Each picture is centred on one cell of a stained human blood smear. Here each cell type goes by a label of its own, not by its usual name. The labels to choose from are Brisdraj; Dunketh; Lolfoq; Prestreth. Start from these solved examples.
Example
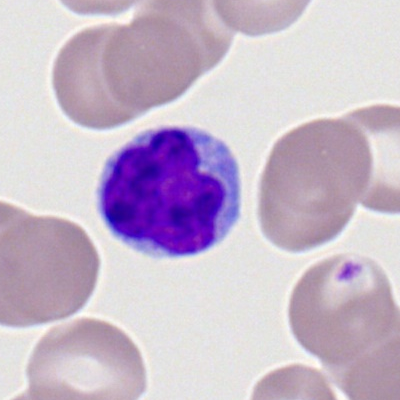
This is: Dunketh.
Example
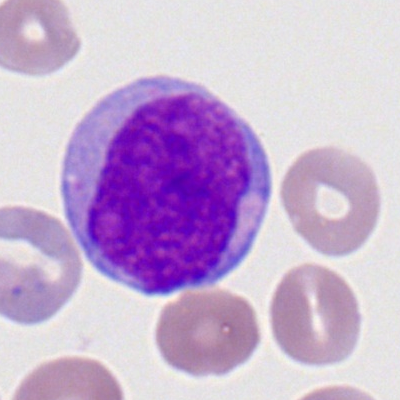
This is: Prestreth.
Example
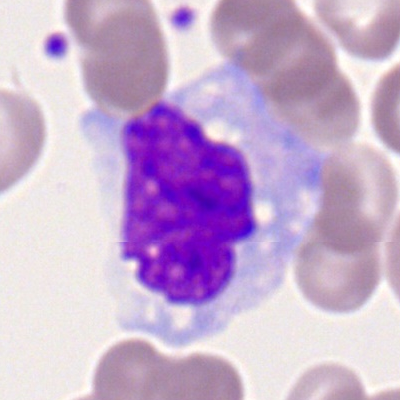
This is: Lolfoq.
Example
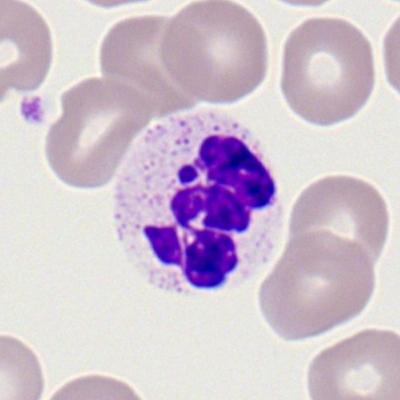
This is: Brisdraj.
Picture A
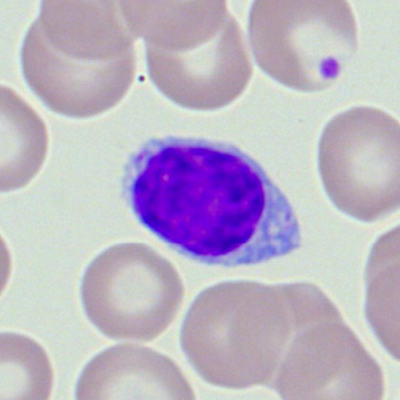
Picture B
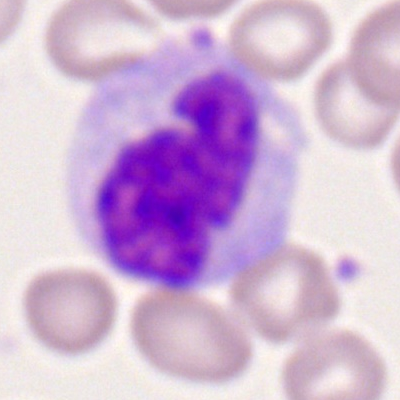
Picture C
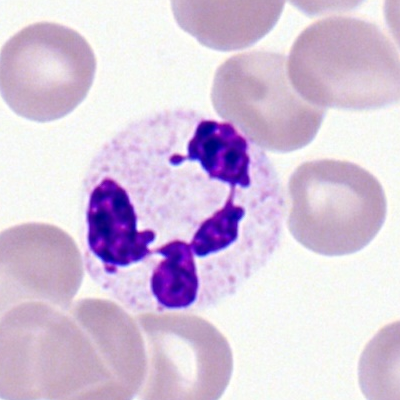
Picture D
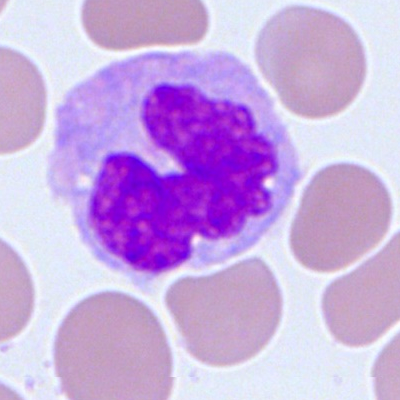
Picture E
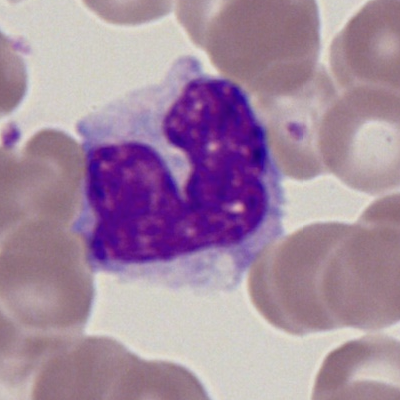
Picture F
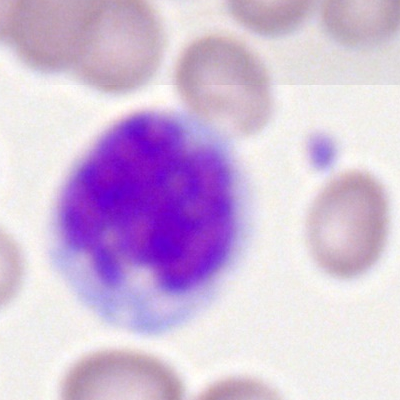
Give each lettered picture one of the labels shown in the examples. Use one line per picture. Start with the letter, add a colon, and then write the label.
A: Dunketh.
B: Lolfoq.
C: Brisdraj.
D: Lolfoq.
E: Lolfoq.
F: Lolfoq.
